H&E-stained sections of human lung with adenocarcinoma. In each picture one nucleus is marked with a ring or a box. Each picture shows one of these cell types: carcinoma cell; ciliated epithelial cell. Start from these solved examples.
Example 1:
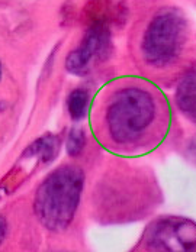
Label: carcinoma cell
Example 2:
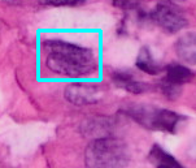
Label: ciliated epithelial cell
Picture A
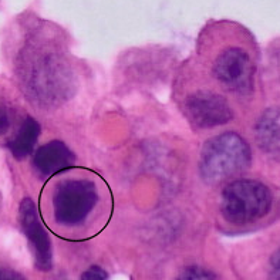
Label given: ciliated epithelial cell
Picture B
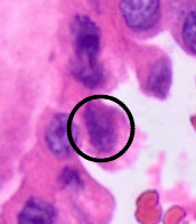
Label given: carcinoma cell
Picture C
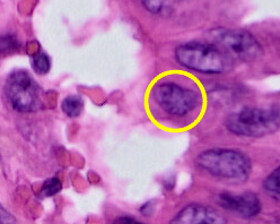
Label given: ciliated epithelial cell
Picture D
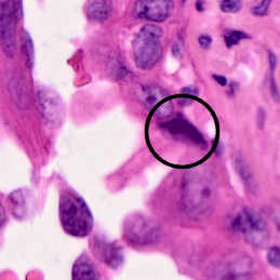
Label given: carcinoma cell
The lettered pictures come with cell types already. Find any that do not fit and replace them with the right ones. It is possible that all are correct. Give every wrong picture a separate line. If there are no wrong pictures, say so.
A should be carcinoma cell, not ciliated epithelial cell
C should be carcinoma cell, not ciliated epithelial cell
